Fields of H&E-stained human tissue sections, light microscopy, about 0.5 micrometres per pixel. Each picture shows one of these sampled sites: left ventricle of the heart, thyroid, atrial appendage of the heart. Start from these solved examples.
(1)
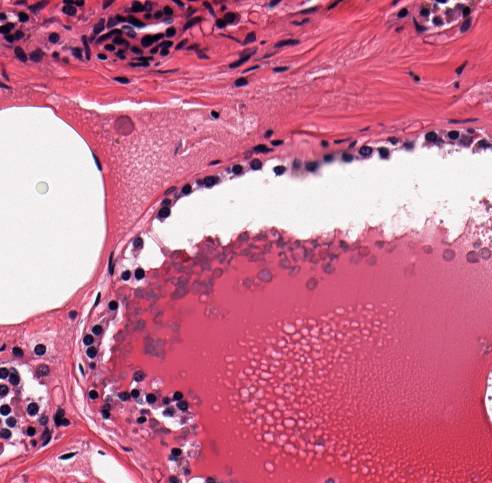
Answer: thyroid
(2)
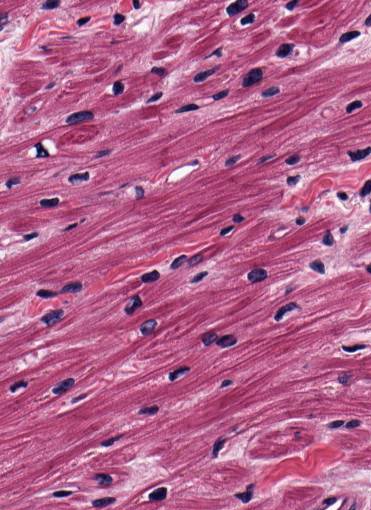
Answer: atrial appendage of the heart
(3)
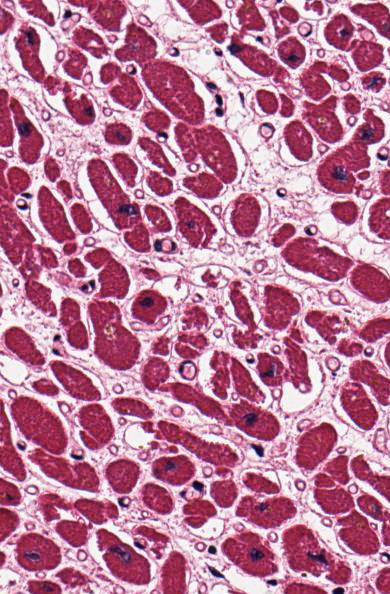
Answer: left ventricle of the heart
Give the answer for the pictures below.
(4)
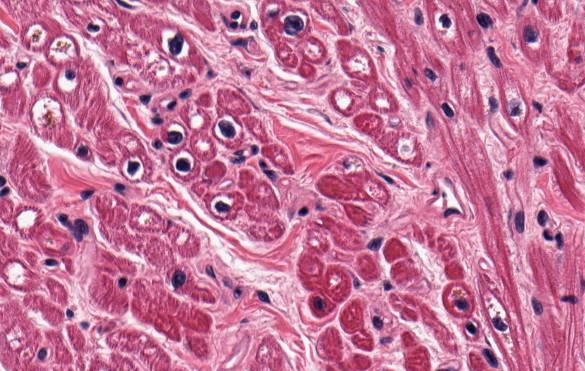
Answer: atrial appendage of the heart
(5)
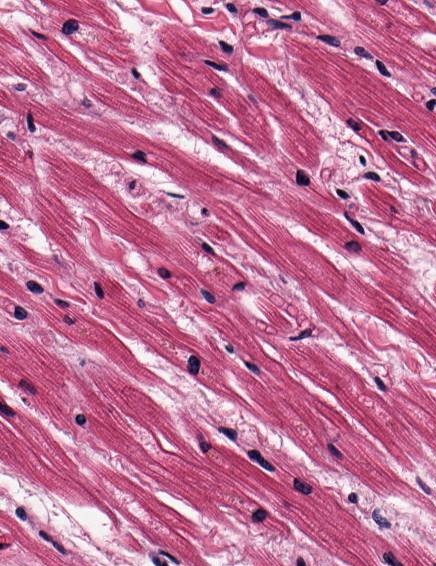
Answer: atrial appendage of the heart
